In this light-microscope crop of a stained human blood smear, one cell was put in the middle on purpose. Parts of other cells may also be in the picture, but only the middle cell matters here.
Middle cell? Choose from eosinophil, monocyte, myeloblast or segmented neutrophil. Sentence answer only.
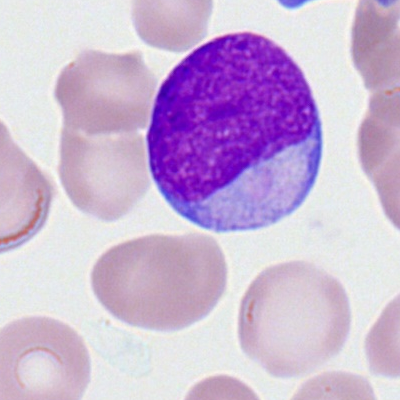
Where the crop is centred, there is a myeloblast.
